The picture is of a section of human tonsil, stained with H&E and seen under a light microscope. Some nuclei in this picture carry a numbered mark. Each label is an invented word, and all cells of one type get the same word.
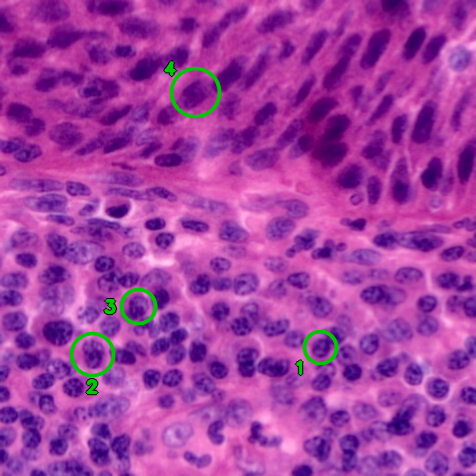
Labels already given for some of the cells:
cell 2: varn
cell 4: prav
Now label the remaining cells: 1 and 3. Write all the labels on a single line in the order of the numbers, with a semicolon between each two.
varn; varn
